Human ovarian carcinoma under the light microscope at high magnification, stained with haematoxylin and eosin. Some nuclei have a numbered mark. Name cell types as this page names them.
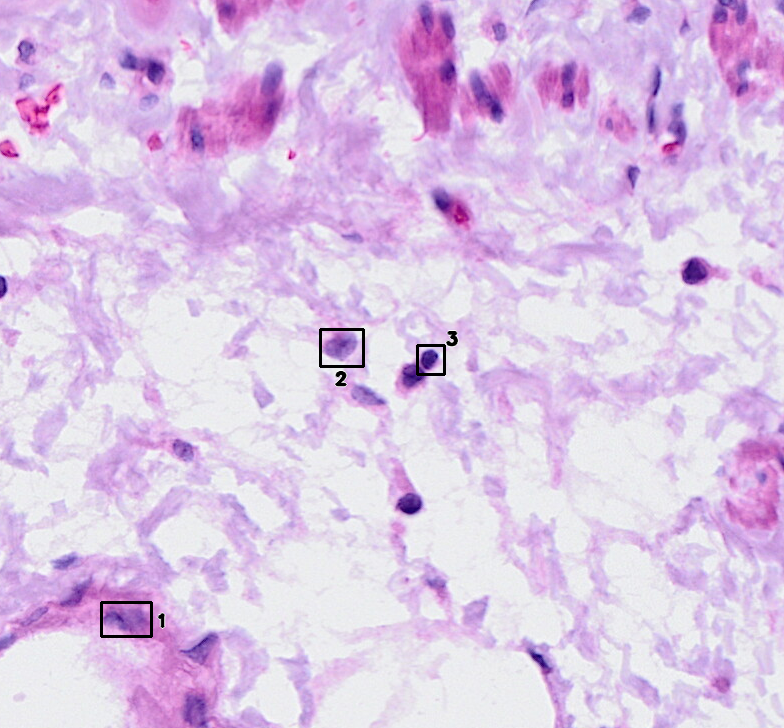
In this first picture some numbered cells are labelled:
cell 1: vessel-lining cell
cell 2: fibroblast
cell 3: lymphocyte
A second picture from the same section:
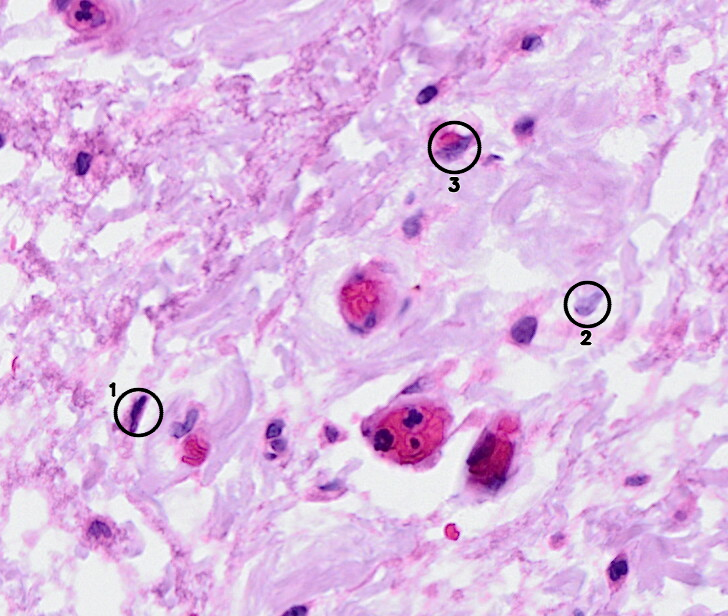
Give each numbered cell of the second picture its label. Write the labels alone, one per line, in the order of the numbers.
fibroblast
fibroblast
vessel-lining cell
